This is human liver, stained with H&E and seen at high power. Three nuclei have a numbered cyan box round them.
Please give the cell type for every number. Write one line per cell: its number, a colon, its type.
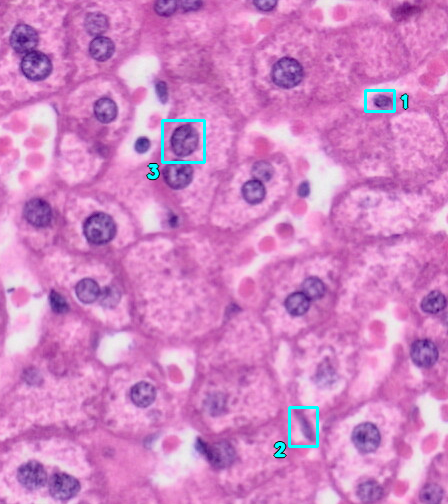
1: Kupffer cell
2: Kupffer cell
3: hepatocyte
